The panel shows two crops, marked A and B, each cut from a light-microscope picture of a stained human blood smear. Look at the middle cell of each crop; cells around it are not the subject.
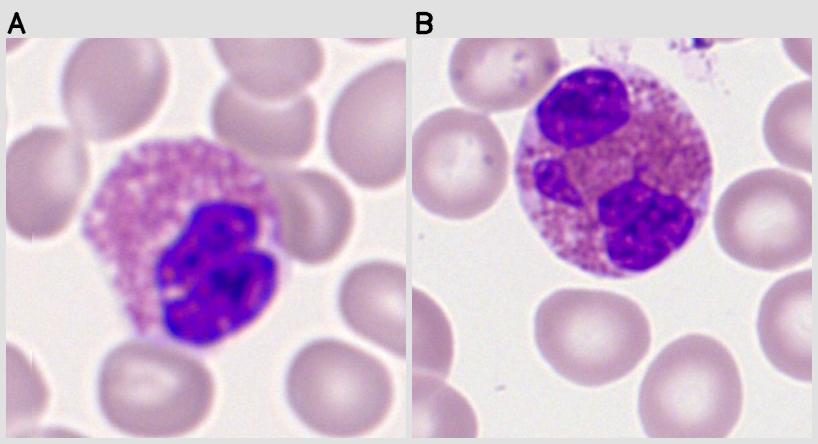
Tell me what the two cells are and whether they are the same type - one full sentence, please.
Yes, both crops alike show eosinophils at the centre.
